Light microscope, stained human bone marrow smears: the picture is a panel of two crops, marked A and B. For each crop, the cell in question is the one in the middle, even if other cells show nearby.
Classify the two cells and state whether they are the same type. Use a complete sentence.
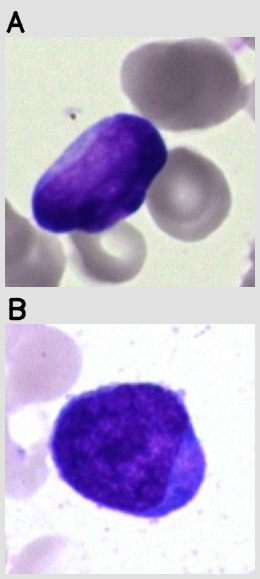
Yes, both crops show a cell each, and these are blasts.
